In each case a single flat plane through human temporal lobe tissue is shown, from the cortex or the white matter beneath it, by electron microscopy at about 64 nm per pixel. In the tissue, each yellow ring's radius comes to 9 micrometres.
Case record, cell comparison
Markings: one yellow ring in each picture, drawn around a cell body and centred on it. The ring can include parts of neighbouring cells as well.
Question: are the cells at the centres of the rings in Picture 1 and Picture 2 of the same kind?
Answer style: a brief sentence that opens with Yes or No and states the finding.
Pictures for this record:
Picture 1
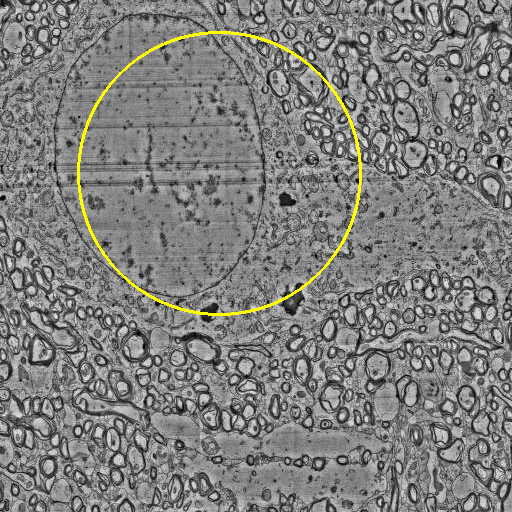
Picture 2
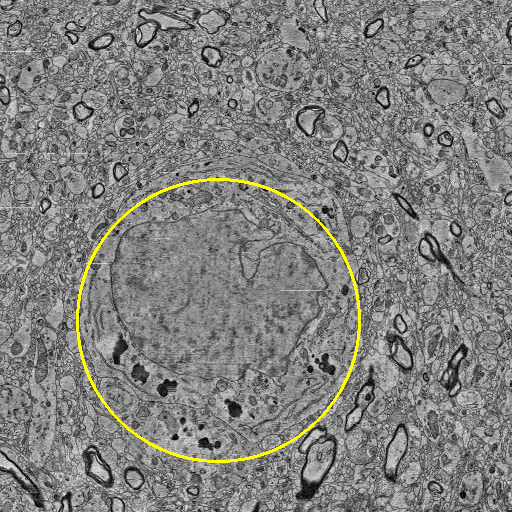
No, the cells in Picture 1 and Picture 2 are of two kinds.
